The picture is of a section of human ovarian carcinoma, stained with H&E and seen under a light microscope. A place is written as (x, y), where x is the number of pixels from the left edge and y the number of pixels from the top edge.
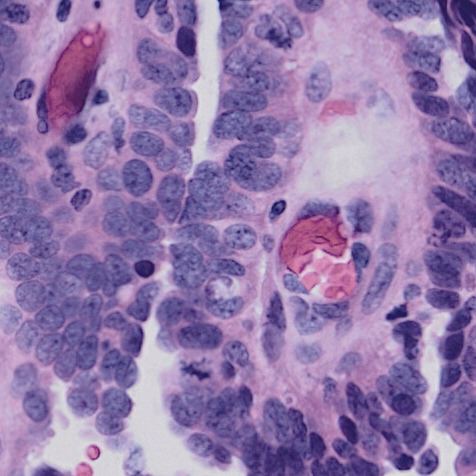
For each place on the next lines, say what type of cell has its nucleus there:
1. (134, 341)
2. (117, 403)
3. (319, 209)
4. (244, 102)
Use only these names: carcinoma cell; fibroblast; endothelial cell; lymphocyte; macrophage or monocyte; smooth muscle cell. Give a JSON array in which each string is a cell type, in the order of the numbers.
["carcinoma cell", "carcinoma cell", "endothelial cell", "carcinoma cell"]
